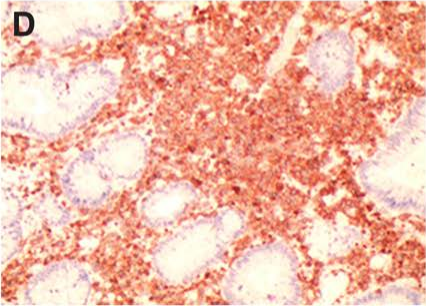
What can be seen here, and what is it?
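Mucosa with round and elongated glands lined by pale, mucin-rich columnar epithelium with small blue basal nuclei sits in a stroma that is packed with small round cells. These stromal cells are stained a strong brown, forming a dense, almost continuous sheet that surrounds and separates the glands, while the glandular epithelium stays blue and unstained. The brown cells are small and closely crowded, with little visible space between them. The picture is that of a dense lymphocytic infiltrate expanding the tissue between the glands, the infiltrating lymphocytes carrying the brown stain.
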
